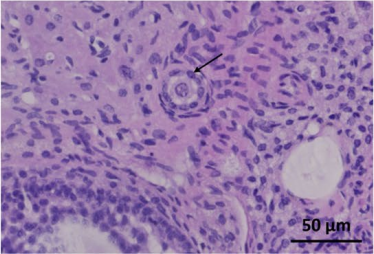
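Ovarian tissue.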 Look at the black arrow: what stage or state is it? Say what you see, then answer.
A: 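Primary. A small oocyte encircled by a single ring of cells. The surrounding cells are plumper than flat squamous cells. It lies within the ovarian stroma.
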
